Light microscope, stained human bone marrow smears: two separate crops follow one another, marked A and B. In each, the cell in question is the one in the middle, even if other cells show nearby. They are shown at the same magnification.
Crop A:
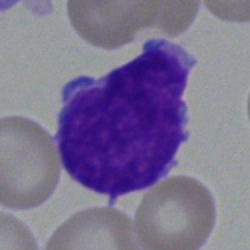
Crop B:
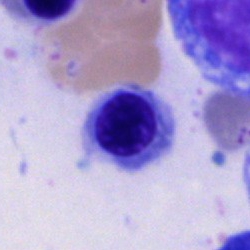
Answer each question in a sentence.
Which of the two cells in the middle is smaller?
Smaller is the cell in crop B, and the other is about 3 times as large in area.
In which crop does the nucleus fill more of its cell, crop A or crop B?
The nucleus fills more of the cell in crop A than in crop B.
